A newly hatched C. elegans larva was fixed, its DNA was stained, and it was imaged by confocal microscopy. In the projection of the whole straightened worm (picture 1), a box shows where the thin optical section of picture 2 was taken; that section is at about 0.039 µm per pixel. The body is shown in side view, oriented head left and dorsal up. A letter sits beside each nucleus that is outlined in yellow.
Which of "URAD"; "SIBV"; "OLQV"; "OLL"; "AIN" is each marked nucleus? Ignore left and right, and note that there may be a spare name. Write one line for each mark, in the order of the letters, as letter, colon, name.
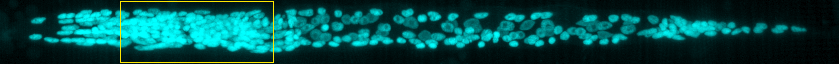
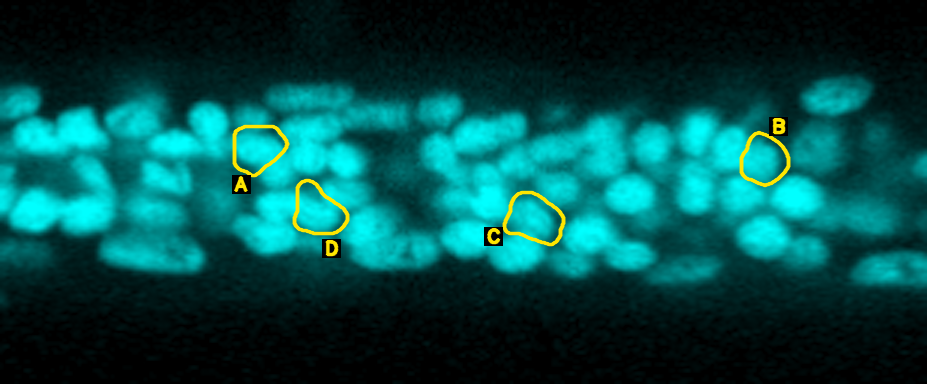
A: OLL
B: AIN
C: SIBV
D: OLQV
